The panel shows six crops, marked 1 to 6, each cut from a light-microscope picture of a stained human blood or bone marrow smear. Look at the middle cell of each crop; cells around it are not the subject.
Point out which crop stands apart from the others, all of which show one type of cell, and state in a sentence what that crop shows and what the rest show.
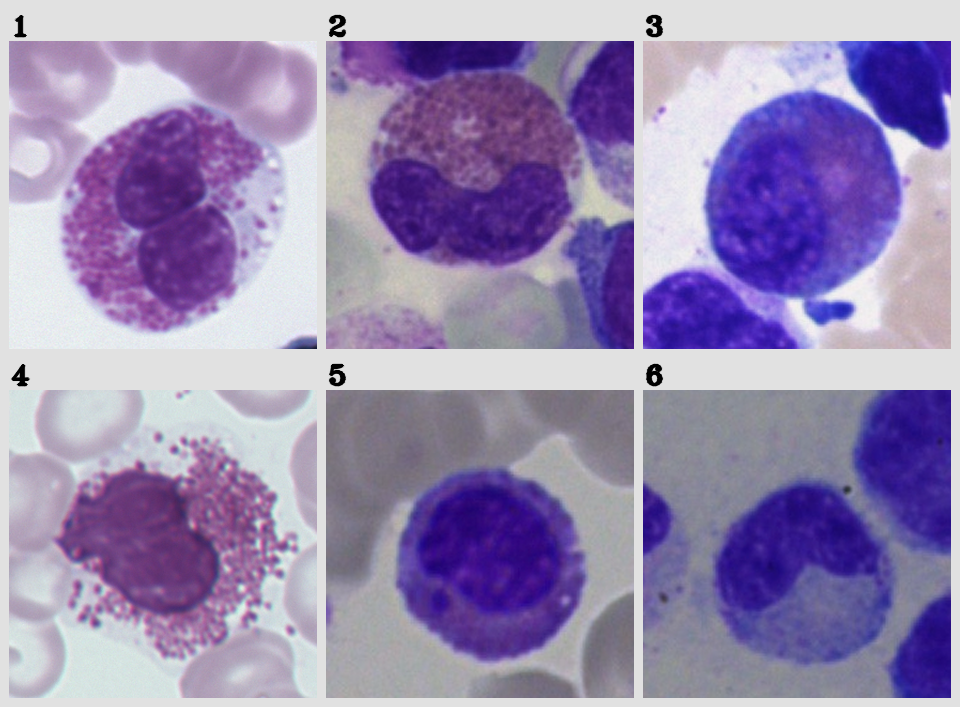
Crop 6 differs from the others in showing a band neutrophil; the rest all show eosinophils.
